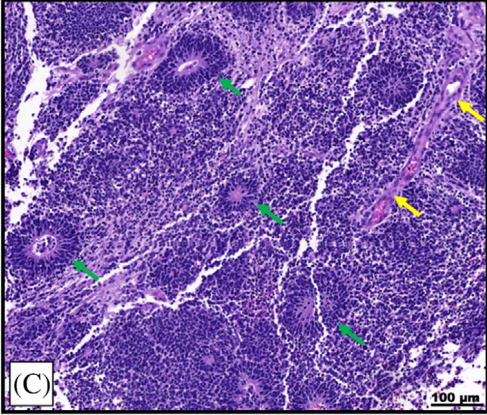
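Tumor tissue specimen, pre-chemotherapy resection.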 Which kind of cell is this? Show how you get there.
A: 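Undifferentiated, small, round, blue cells. Densely packed small round dark purple nuclei. Very little cytoplasm visible around the nuclei.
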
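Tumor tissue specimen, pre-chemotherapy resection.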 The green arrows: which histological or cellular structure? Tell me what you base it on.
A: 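Multilayered rosettes. Several rings of small dark nuclei arranged radially around a small central lumen. The rings are many cell layers thick.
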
